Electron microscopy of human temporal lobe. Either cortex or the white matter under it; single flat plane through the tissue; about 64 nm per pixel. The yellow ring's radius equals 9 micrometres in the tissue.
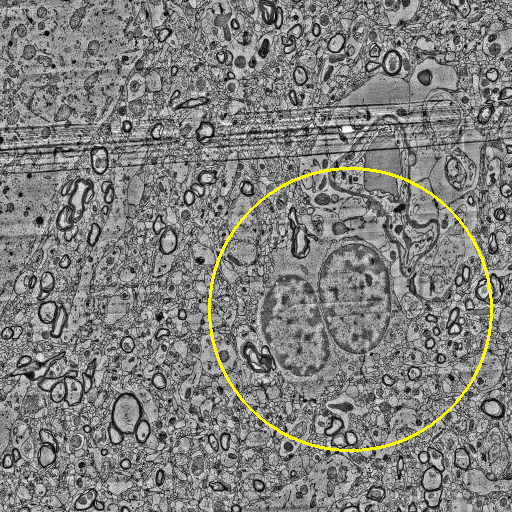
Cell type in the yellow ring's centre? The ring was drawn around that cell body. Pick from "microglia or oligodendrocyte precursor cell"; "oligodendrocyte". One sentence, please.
The ringed cell body is that of an oligodendrocyte.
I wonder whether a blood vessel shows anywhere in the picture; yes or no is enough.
Yes, there is one.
